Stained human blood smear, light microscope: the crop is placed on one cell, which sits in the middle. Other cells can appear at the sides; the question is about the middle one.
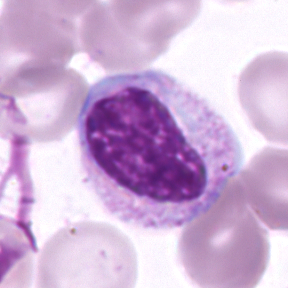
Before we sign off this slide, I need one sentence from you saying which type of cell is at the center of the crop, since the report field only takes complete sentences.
Classification of the middle cell gives a metamyelocyte.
